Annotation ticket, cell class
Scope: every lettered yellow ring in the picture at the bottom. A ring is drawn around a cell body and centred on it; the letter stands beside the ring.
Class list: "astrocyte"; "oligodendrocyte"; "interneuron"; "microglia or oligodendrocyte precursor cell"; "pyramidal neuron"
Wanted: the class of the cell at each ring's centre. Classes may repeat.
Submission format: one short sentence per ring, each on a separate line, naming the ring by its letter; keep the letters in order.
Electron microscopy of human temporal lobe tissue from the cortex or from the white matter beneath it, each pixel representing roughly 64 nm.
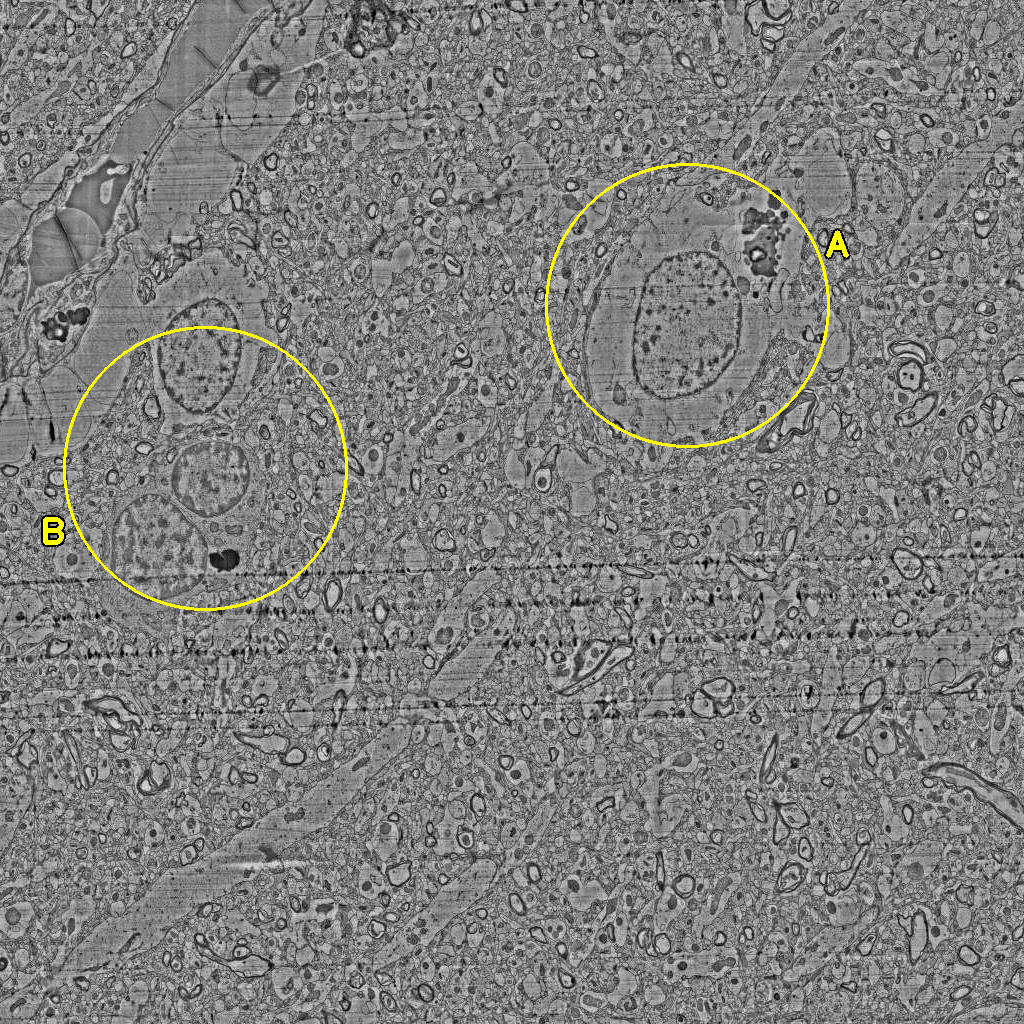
The centre of ring A is occupied by an astrocyte.
The centre of ring B is occupied by an oligodendrocyte.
